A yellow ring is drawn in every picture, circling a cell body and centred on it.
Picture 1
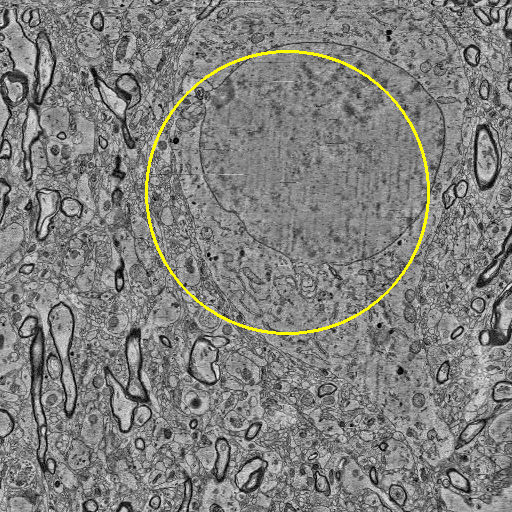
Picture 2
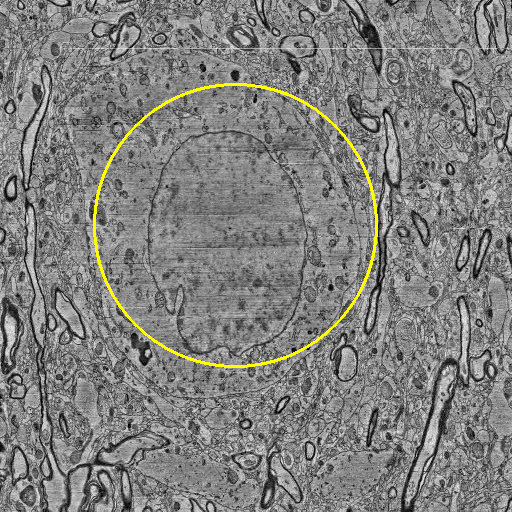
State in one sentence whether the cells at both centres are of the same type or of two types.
The cells at the two ring centres, one per picture, are of the same type.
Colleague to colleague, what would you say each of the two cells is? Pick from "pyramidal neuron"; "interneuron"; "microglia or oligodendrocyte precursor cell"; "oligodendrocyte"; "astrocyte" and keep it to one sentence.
The cell in the first picture is a pyramidal neuron, and so is the one in the second.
